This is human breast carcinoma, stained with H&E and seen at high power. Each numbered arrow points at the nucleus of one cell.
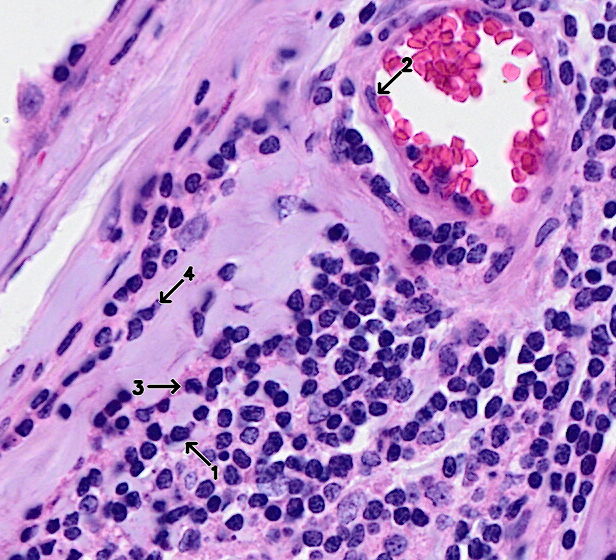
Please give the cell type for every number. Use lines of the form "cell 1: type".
cell 1: lymphocyte
cell 2: endothelial cell
cell 3: lymphocyte
cell 4: lymphocyte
